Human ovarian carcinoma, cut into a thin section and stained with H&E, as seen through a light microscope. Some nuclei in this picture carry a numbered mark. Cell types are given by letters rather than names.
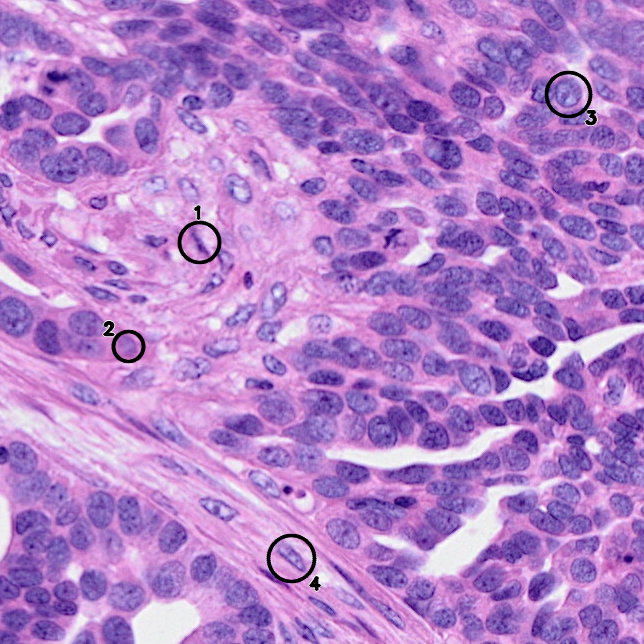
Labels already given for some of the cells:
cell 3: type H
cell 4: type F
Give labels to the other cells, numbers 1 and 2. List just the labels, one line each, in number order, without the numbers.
type F
type F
